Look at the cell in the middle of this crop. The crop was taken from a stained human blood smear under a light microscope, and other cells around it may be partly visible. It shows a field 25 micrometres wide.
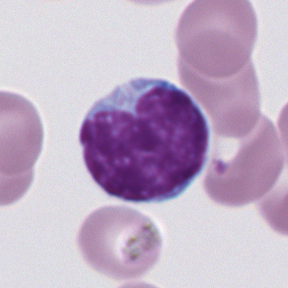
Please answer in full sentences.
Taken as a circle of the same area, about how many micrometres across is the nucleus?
Taken as a circle, the nucleus has a diameter of about 10 micrometres.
